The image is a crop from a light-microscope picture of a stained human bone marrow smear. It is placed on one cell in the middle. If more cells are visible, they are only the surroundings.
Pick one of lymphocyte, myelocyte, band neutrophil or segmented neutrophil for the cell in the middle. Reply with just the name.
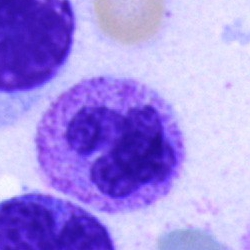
segmented neutrophil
